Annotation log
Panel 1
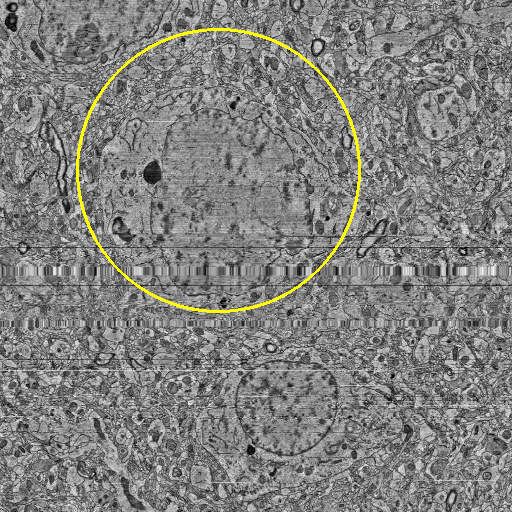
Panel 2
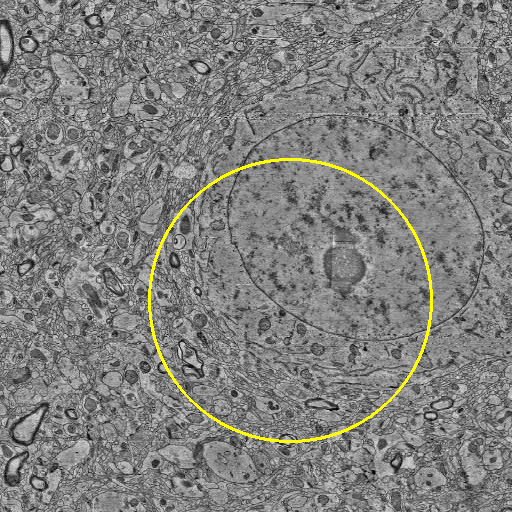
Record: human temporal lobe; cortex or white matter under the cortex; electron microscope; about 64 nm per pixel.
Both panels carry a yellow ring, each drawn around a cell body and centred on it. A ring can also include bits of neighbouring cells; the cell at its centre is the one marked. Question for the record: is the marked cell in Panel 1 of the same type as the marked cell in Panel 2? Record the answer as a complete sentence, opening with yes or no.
Yes, the marked cells in Panel 1 and Panel 2 are of the same type.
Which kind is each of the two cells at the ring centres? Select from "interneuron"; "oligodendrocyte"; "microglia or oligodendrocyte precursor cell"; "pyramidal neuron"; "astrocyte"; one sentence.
Each of the two cells is a pyramidal neuron.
